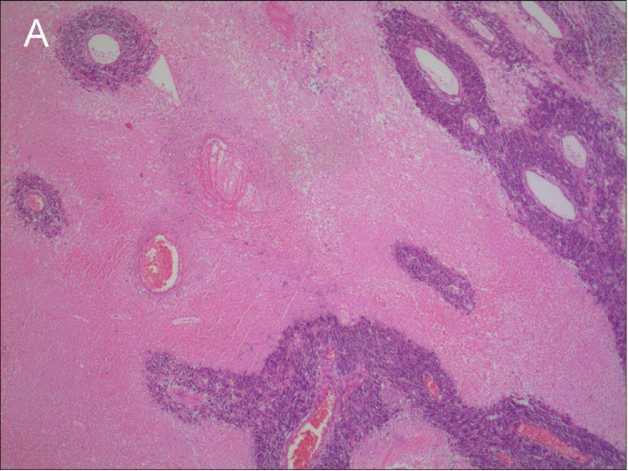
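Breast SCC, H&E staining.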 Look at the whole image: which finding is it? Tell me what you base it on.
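Large pale pink area without recognizable nuclei. Ghost-like eosinophilic tissue fills most of the field.
Answer: coagulative necrosis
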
